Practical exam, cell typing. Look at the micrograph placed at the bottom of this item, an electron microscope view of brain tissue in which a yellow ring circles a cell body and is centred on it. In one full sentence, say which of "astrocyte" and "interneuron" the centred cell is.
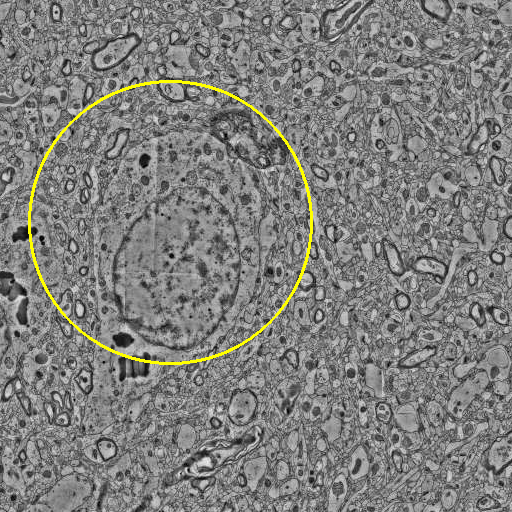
Given the options, an interneuron fits the cell whose body the yellow ring is centred on.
